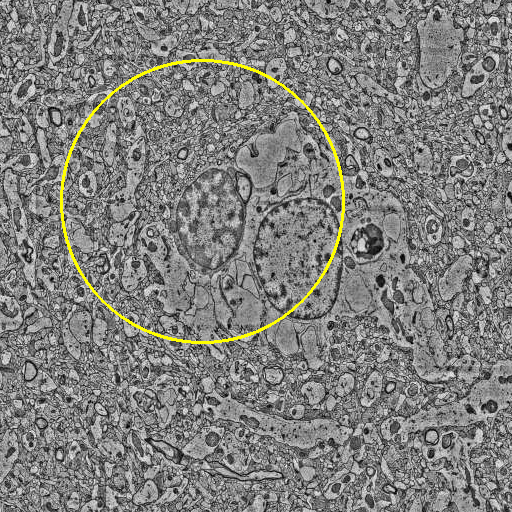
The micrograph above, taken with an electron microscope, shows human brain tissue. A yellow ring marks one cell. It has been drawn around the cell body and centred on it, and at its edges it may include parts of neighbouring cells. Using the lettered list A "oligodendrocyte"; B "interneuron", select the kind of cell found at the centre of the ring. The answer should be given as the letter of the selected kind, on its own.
A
